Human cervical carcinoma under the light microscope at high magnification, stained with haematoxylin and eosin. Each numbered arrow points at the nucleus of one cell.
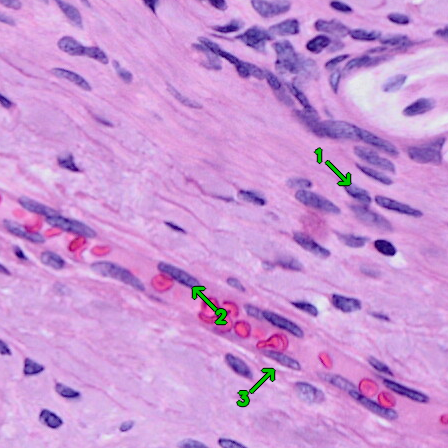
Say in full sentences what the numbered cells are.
Cell 1 is a fibroblast. Cells 2 and 3 are endothelial cells.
